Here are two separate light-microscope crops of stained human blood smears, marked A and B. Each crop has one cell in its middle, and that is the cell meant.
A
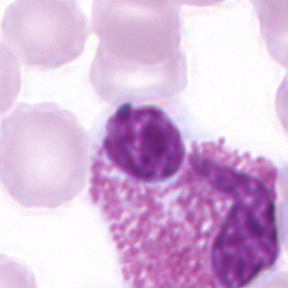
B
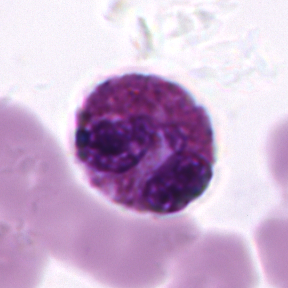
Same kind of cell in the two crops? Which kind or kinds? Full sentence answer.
Yes, as for both crops, the cells shown are eosinophils.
